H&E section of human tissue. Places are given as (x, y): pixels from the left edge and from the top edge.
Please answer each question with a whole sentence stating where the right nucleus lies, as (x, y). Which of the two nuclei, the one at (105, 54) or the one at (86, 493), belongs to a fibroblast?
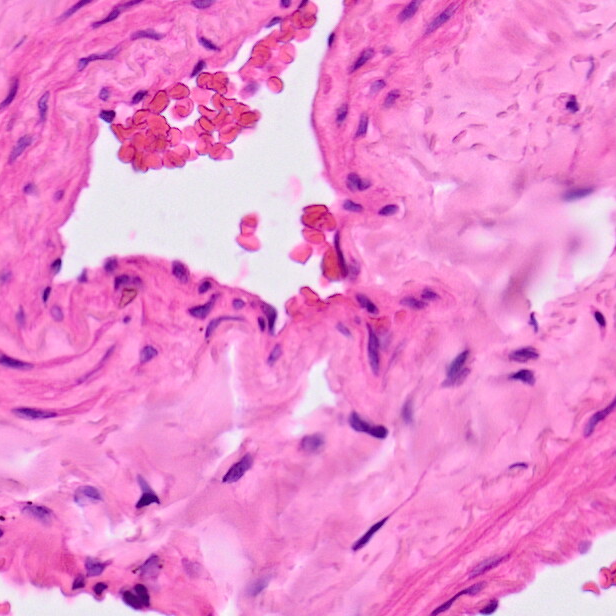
Of the two nuclei, the nucleus belonging to a fibroblast is located at (86, 493).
